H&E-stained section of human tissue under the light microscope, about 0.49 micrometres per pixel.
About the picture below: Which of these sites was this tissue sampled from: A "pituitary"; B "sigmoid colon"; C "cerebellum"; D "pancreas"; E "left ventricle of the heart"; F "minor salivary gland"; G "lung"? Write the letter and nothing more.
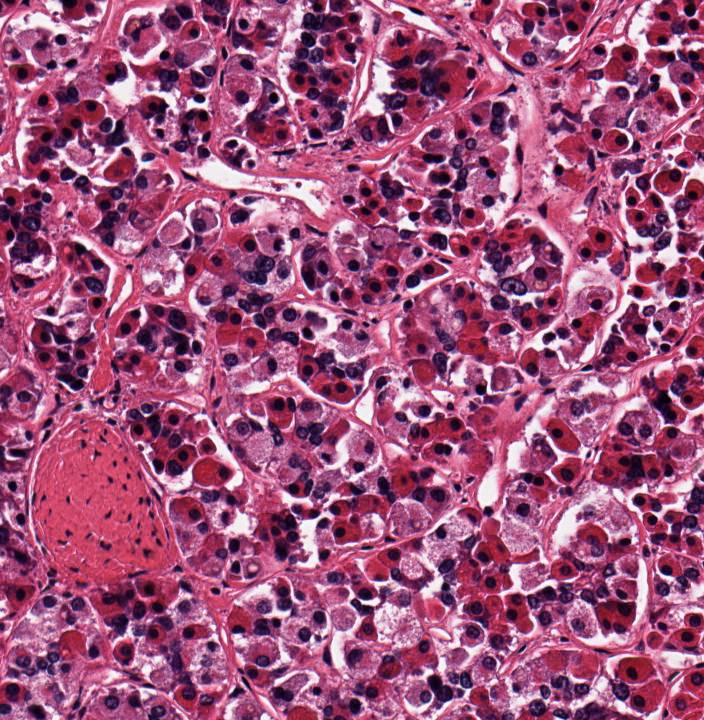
A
